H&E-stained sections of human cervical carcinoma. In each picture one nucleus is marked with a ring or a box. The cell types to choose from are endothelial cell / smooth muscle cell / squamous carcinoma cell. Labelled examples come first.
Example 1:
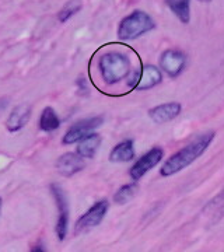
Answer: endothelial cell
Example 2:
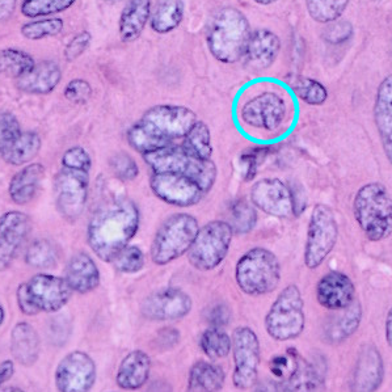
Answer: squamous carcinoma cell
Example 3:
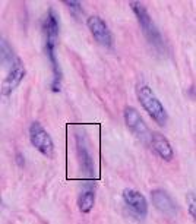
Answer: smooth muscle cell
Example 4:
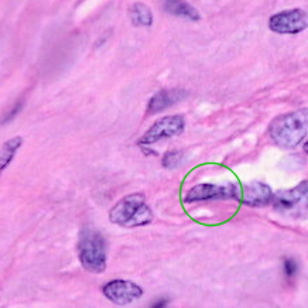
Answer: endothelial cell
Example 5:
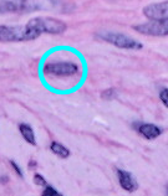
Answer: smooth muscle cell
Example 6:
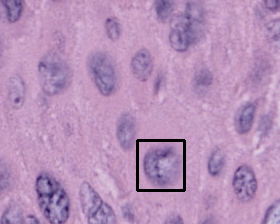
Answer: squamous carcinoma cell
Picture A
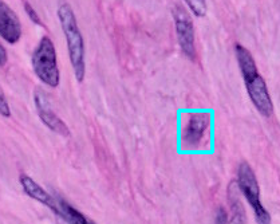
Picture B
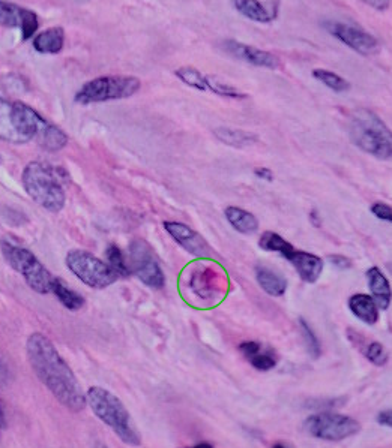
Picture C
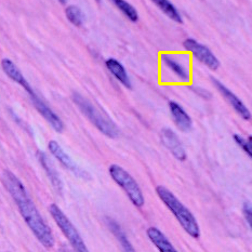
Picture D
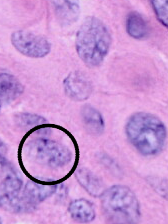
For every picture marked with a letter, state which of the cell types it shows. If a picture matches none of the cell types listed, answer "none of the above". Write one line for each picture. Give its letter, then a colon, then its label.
A: smooth muscle cell
B: endothelial cell
C: none of the above
D: squamous carcinoma cell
